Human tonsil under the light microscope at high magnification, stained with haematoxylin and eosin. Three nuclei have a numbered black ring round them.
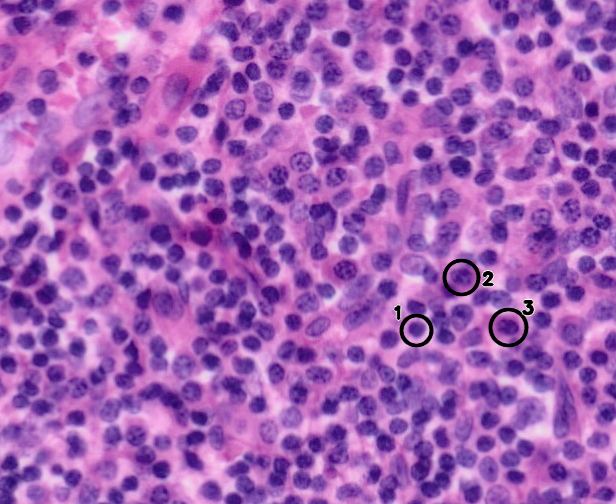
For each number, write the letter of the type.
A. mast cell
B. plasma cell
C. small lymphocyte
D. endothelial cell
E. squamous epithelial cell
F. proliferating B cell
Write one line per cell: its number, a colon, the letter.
1: C
2: B
3: B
